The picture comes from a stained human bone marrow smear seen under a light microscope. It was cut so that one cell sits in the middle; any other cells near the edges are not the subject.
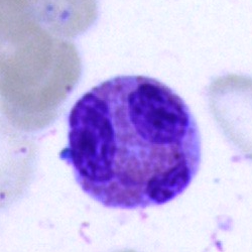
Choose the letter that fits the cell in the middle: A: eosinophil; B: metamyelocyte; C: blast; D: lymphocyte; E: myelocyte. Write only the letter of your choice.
A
